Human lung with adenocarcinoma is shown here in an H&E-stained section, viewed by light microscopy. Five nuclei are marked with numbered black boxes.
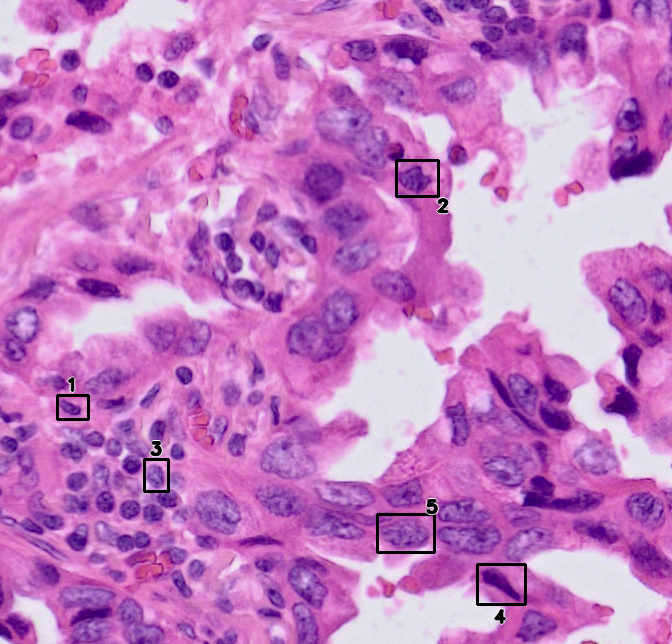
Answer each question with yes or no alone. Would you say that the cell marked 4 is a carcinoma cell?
yes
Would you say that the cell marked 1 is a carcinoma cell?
no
